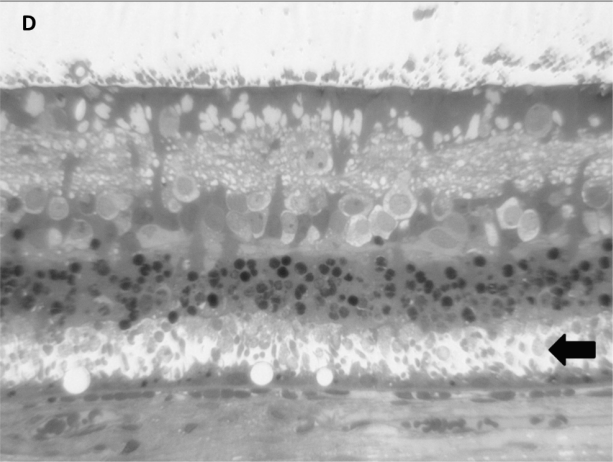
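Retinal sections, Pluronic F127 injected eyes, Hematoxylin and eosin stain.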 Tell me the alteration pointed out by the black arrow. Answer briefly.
disrupted photoreceptor outer segments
